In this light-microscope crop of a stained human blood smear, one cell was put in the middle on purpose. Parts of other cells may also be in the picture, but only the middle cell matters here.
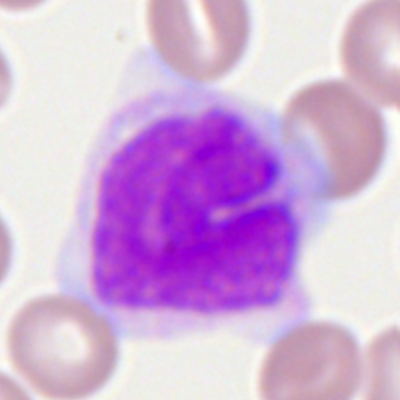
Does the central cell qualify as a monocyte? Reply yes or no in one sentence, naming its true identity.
Yes, the cell in the middle is a monocyte.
